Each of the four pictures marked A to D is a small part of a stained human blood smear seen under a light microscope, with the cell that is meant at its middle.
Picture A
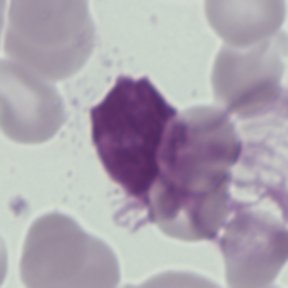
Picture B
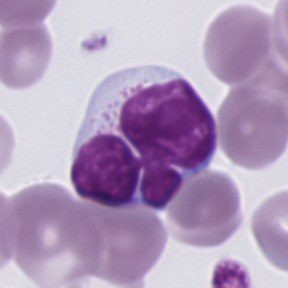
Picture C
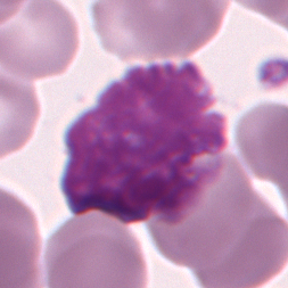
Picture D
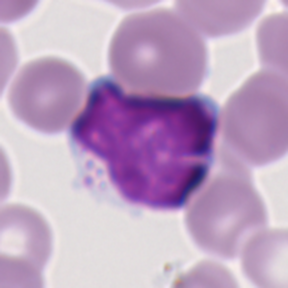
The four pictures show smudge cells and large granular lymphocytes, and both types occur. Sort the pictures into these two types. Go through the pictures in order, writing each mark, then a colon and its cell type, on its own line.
A: smudge cell
B: large granular lymphocyte
C: smudge cell
D: large granular lymphocyte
